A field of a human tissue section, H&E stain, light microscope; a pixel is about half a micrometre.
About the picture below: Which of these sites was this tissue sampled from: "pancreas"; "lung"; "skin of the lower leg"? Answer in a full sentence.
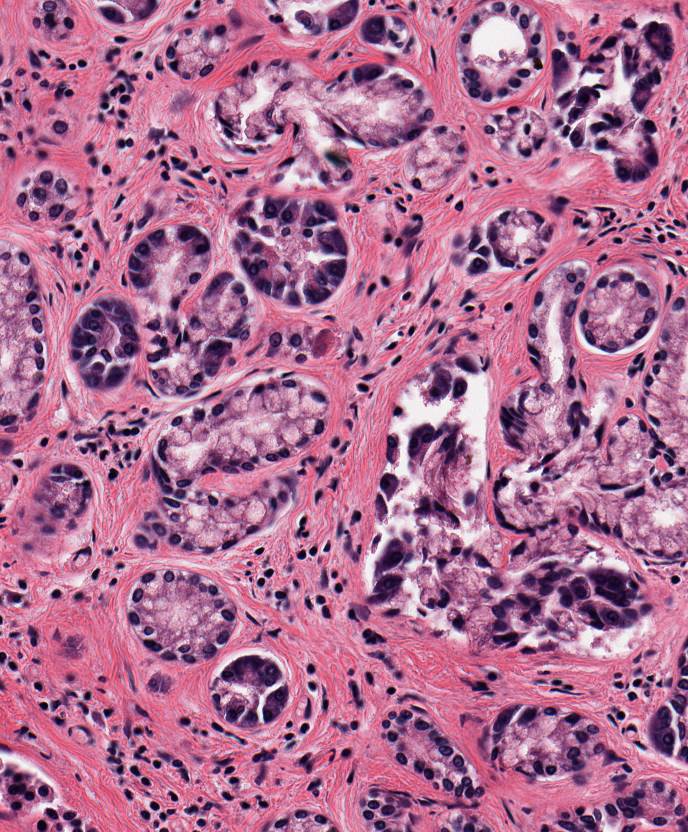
The site this tissue was sampled from is the pancreas.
